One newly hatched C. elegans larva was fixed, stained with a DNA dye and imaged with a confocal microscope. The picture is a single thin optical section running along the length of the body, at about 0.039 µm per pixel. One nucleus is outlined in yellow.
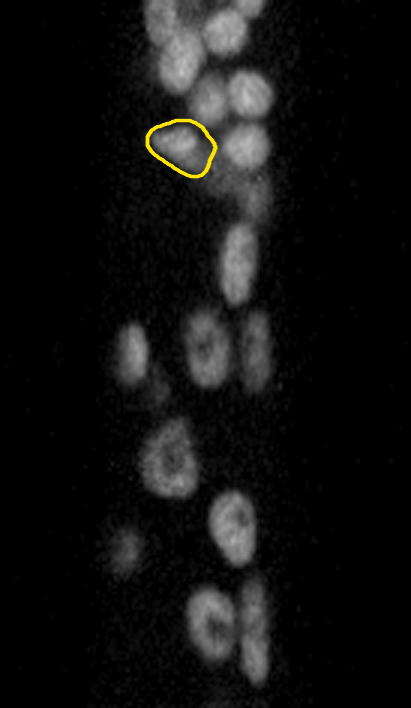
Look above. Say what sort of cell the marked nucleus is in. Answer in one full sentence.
It belongs to a valve cell of the gut.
